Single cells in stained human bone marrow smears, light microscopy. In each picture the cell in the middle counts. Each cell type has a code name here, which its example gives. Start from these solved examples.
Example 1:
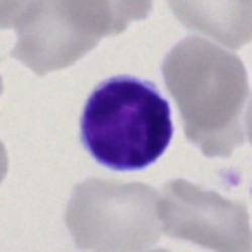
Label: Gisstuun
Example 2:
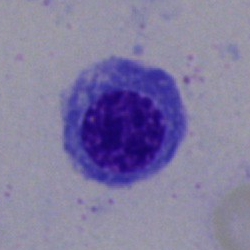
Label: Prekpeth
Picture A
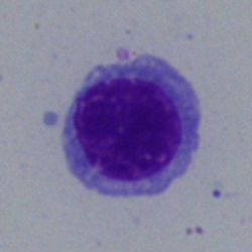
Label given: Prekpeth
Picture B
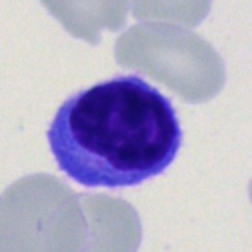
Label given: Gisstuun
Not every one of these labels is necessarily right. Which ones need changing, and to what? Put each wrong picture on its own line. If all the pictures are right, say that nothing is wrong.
Nothing to fix; every label fits.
